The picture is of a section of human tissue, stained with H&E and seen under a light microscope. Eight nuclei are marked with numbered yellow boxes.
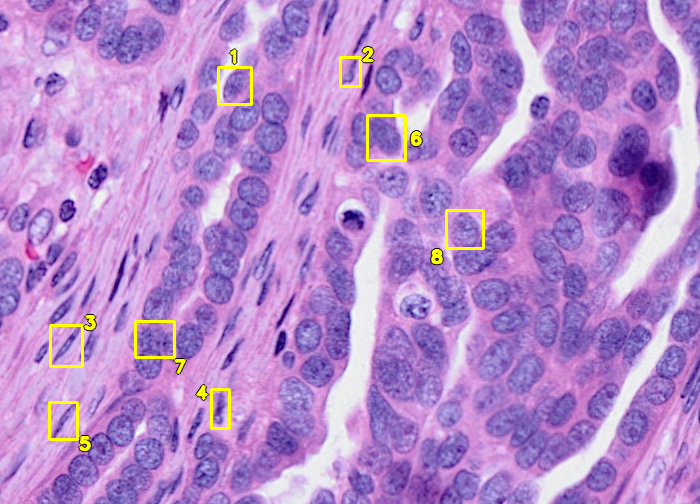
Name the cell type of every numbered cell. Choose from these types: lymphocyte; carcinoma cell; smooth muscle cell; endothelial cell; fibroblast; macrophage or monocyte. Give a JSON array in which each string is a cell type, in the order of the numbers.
["carcinoma cell", "fibroblast", "fibroblast", "fibroblast", "fibroblast", "carcinoma cell", "carcinoma cell", "carcinoma cell"]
